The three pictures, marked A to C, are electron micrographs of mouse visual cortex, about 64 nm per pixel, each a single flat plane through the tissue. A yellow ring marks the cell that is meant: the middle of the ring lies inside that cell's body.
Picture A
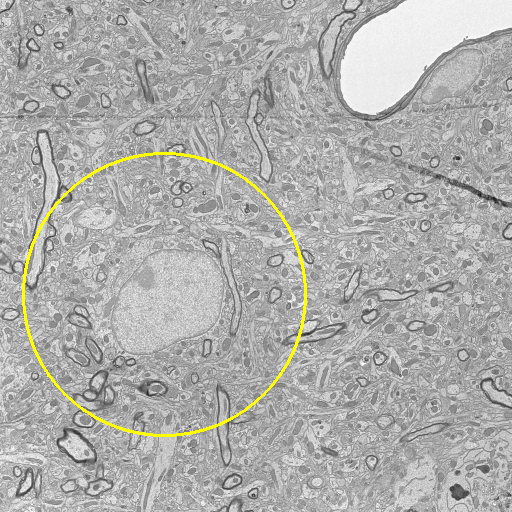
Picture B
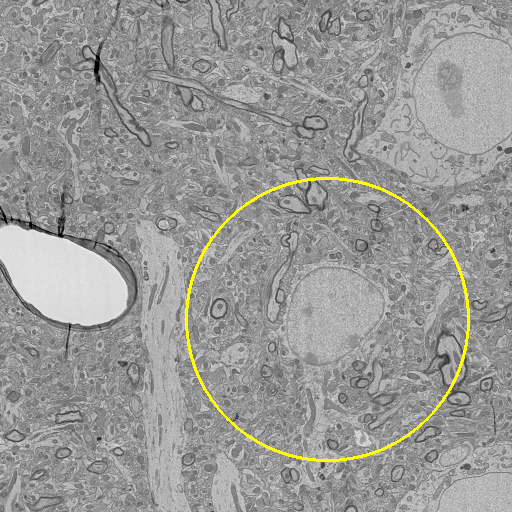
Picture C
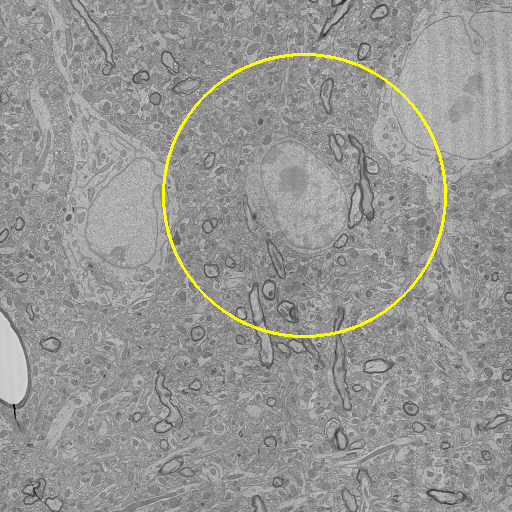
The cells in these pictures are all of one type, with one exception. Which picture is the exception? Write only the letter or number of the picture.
C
